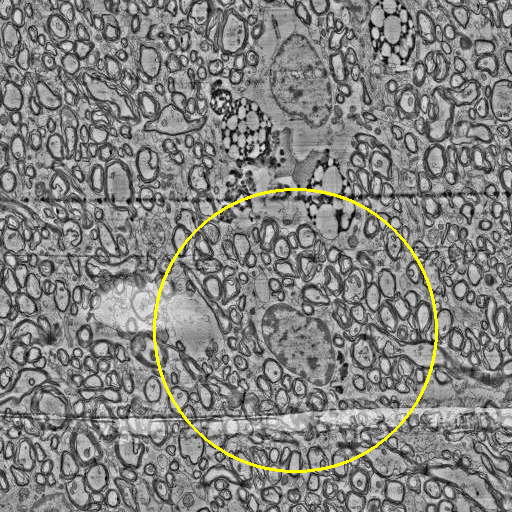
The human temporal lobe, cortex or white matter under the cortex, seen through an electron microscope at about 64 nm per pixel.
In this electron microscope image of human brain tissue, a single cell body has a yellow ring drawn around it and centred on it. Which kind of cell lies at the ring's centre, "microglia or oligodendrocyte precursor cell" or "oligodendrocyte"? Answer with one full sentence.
It is a microglial cell or oligodendrocyte precursor cell whose cell body lies at the centre of the yellow ring here.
